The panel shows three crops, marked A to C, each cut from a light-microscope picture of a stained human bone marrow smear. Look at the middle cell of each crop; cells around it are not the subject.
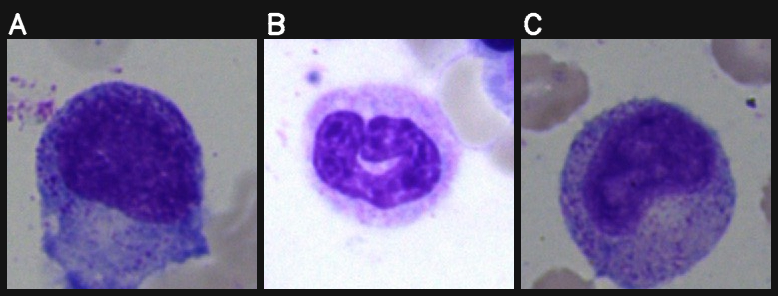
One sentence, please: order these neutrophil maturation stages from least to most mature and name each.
Maturity order, least to most: crop A (a promyelocyte), crop C (a metamyelocyte) and crop B (a segmented neutrophil).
